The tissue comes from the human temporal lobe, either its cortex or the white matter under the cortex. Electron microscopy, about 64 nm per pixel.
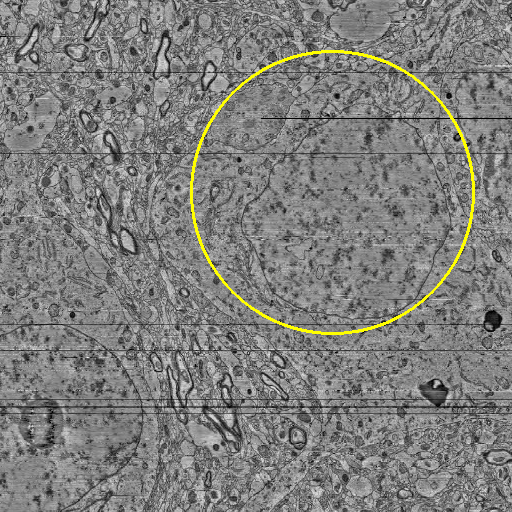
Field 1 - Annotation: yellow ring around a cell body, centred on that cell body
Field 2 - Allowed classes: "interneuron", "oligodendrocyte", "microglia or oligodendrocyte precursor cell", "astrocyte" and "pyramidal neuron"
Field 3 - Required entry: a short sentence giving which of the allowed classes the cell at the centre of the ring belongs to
The centred cell is a pyramidal neuron.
